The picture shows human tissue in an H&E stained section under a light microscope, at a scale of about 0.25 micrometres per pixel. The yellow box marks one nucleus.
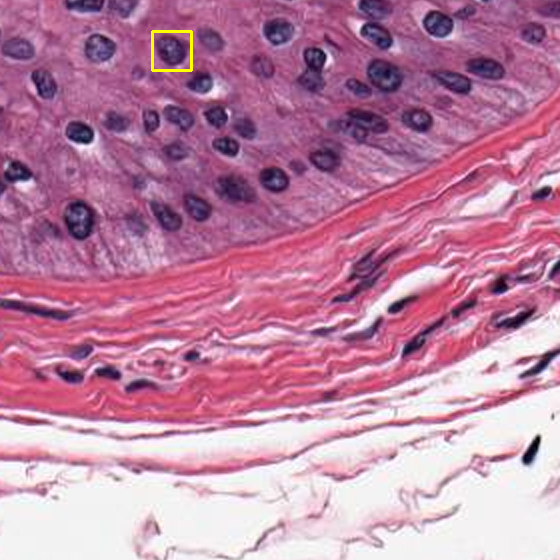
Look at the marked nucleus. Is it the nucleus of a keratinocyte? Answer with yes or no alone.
yes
